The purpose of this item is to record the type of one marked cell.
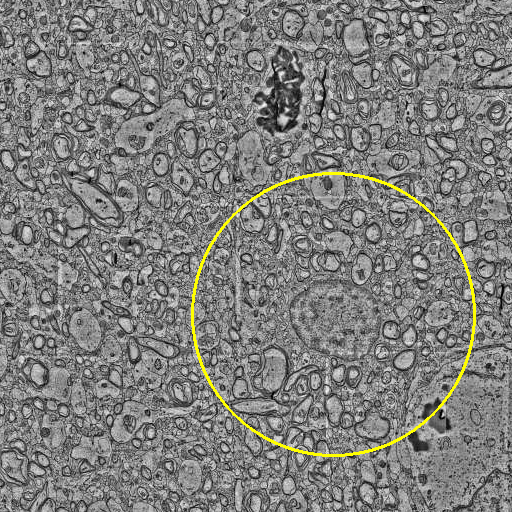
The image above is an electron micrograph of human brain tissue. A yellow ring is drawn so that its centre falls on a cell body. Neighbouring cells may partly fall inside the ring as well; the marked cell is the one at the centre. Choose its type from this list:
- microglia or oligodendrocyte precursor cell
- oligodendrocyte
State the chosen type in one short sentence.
What the ring marks here is an oligodendrocyte.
